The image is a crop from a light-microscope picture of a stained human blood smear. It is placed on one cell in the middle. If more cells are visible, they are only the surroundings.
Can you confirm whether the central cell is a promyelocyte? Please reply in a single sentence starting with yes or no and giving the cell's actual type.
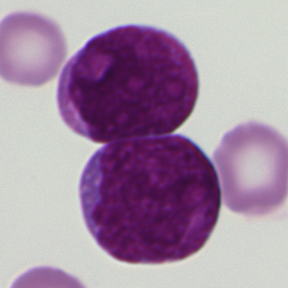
No, the centre of the crop is taken up by a myeloblast, not a promyelocyte.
